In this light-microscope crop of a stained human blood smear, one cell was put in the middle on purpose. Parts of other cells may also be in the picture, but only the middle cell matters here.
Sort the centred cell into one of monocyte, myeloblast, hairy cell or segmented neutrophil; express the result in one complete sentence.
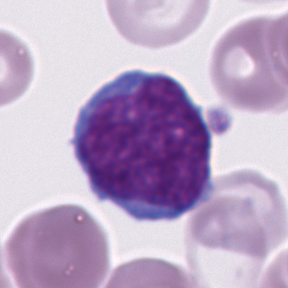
The central cell shown in this smear crop is a myeloblast.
